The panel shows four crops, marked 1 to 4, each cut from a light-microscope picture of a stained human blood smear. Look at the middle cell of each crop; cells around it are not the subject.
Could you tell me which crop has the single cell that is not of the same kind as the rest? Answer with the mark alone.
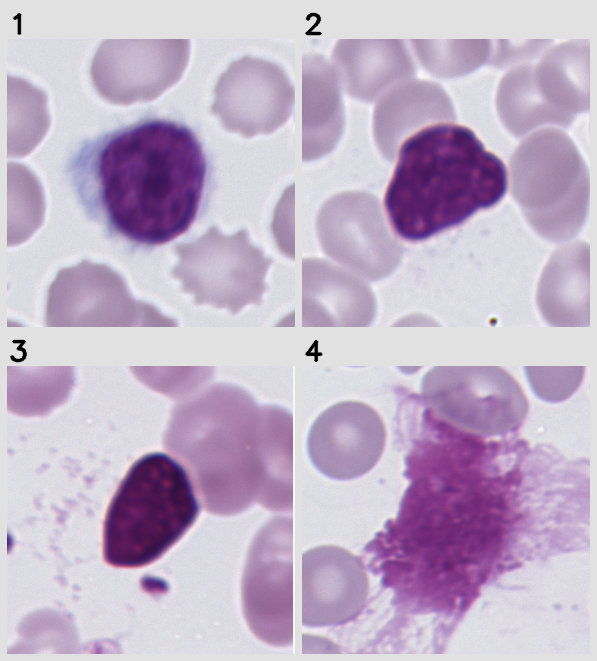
1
